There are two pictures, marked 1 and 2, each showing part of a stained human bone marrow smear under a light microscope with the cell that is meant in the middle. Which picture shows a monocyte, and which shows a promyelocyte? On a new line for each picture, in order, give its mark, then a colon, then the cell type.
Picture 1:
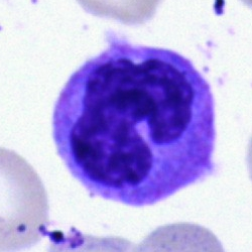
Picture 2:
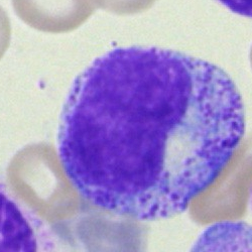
1: monocyte
2: promyelocyte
